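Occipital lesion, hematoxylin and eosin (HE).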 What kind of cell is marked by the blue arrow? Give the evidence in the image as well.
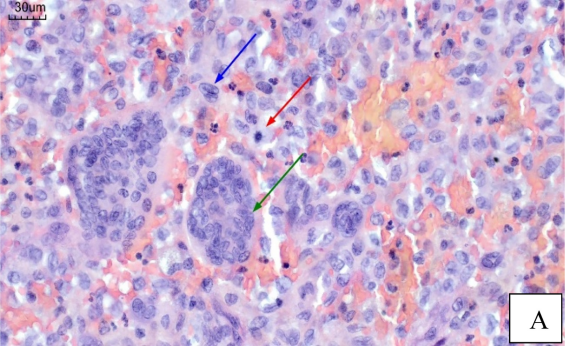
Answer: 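The arrowed cell is a large mononuclear cell with an oval, pale nucleus. Its chromatin is fine and vesicular, not dense. Many similar cells fill the field in sheets.
Conclusion: histiocytic cells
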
